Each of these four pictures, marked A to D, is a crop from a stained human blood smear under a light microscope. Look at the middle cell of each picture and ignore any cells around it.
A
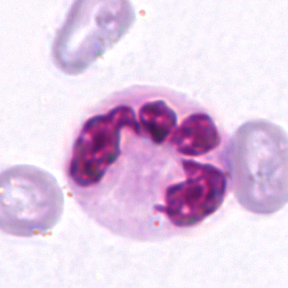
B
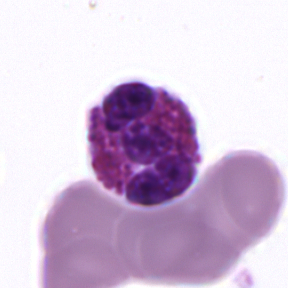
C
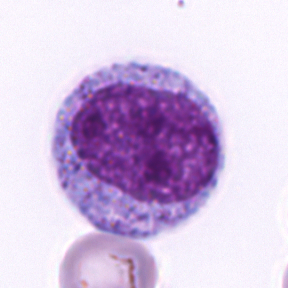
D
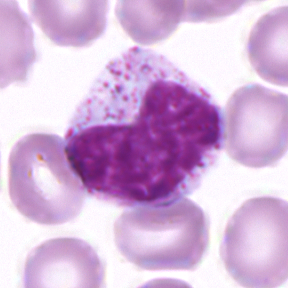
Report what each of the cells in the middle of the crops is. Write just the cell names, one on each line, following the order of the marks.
segmented neutrophil
eosinophil
myelocyte
metamyelocyte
